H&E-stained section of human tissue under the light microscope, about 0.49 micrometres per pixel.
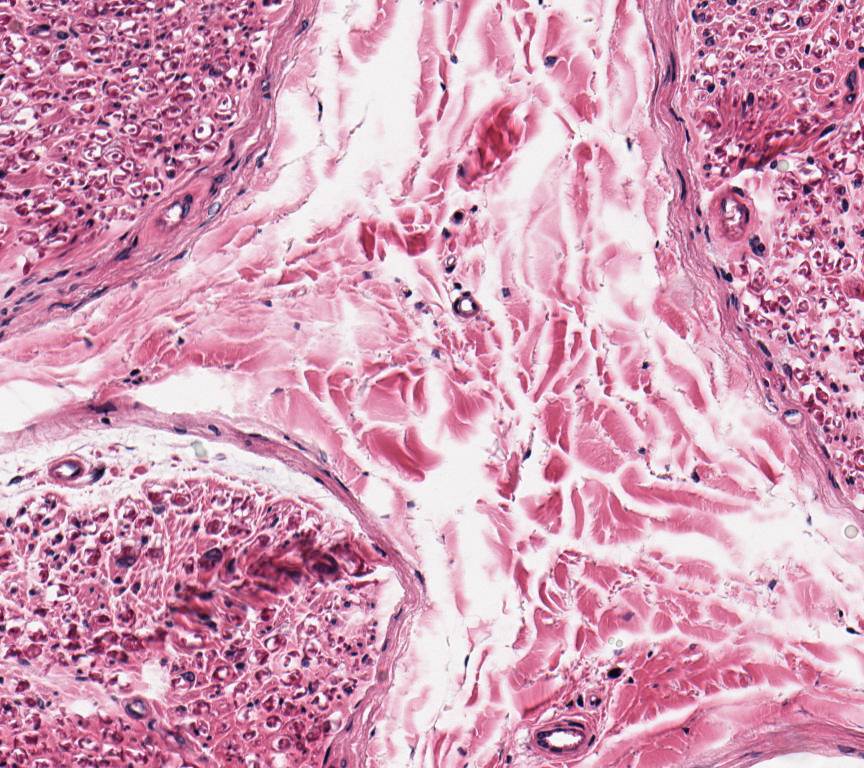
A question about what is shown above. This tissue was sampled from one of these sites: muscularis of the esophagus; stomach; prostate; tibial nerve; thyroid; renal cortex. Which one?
tibial nerve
